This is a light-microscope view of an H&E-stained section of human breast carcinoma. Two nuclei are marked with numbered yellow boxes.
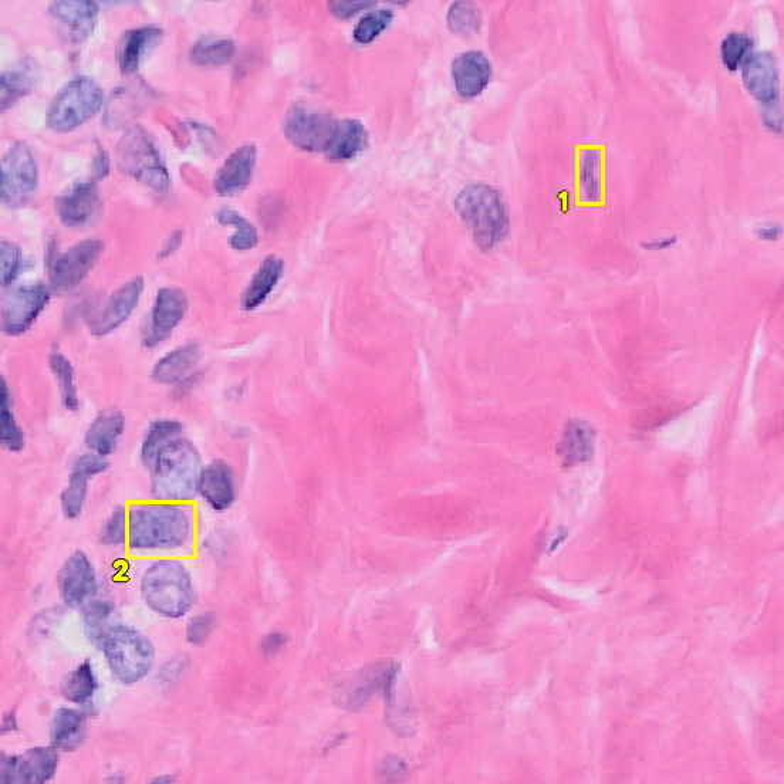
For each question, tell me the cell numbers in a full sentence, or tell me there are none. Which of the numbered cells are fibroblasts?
Cell 1 is a fibroblast, which is true of none of the other numbered cells.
